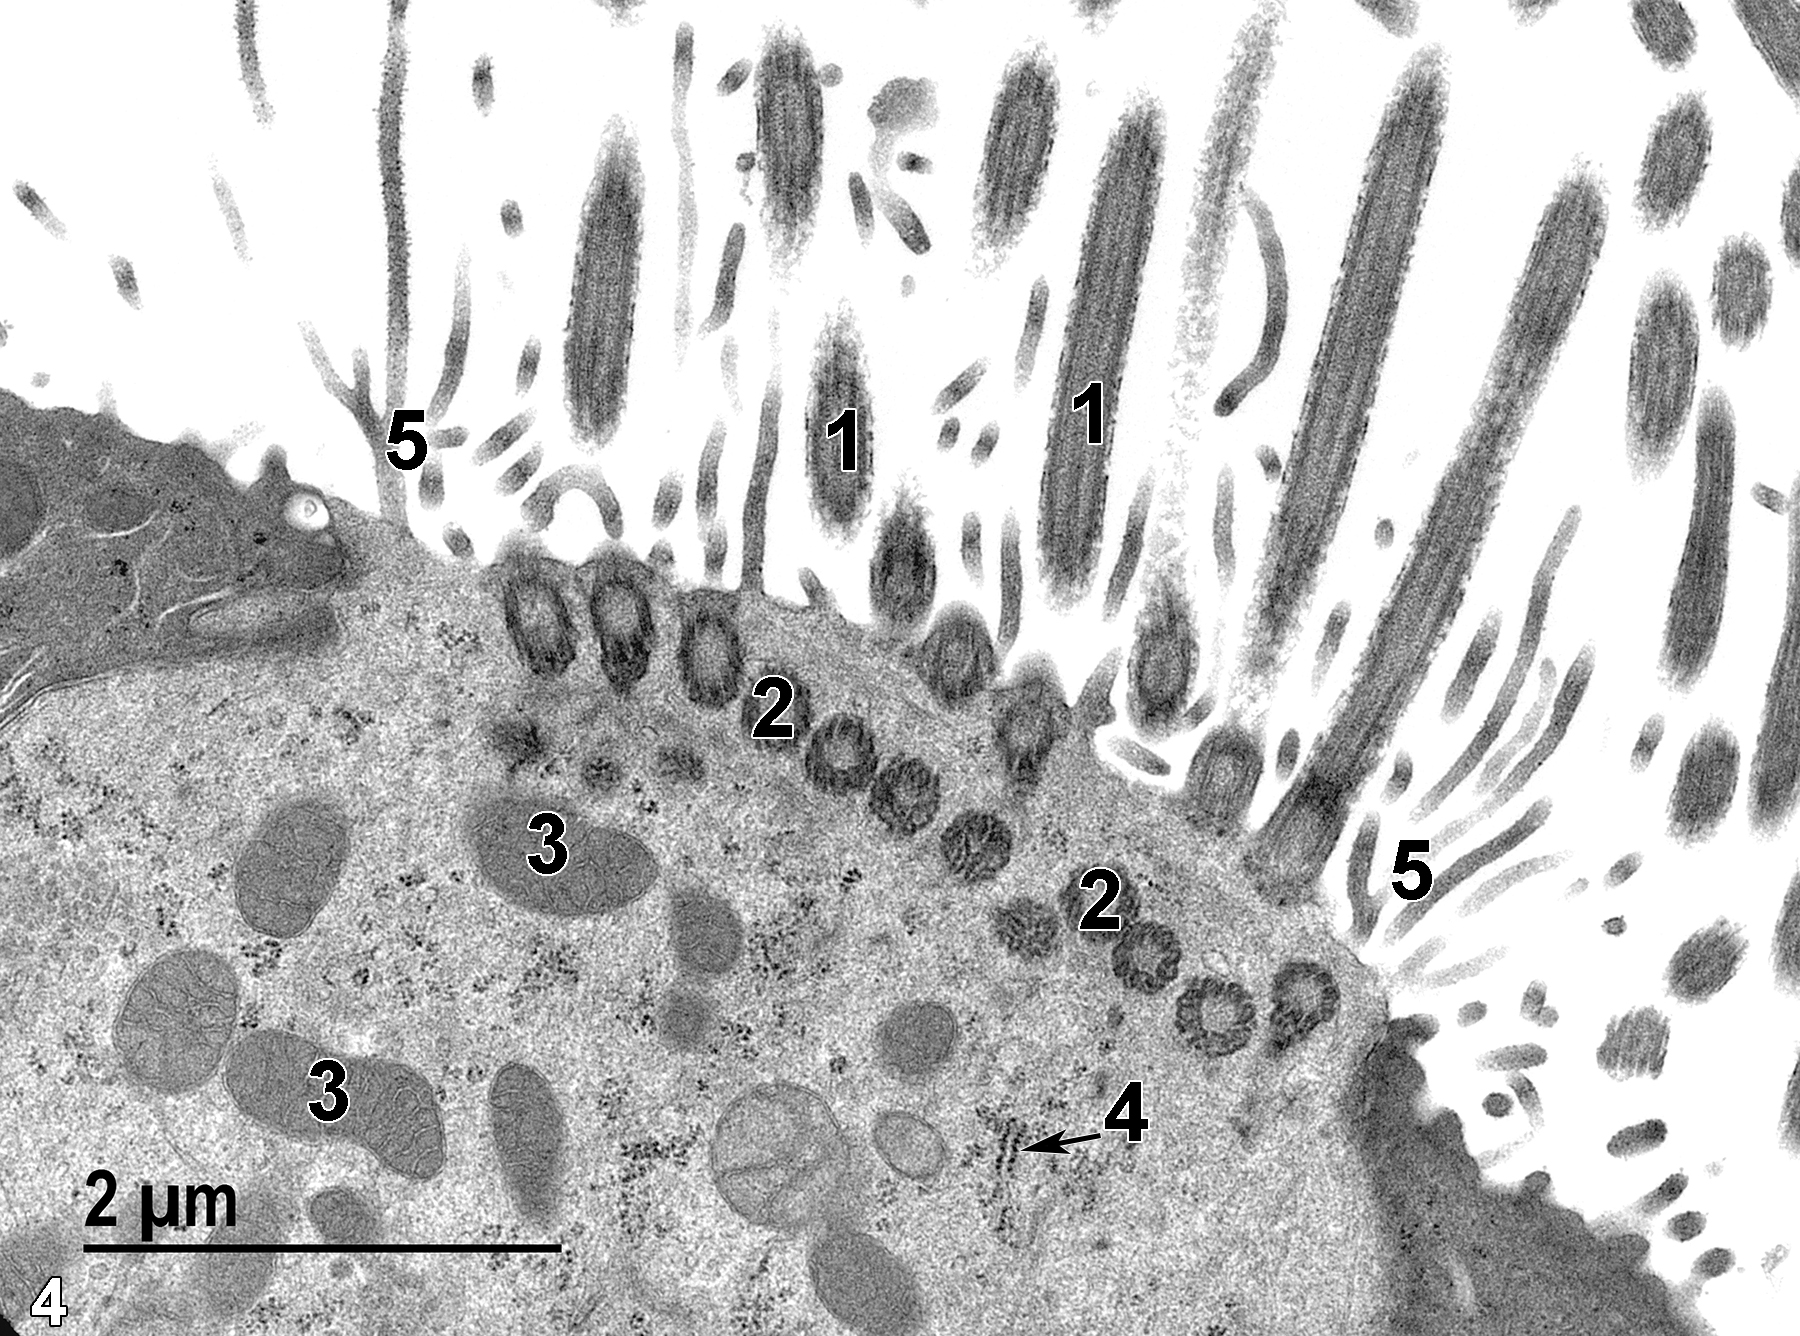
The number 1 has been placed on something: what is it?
The number 1 marks the cilia.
